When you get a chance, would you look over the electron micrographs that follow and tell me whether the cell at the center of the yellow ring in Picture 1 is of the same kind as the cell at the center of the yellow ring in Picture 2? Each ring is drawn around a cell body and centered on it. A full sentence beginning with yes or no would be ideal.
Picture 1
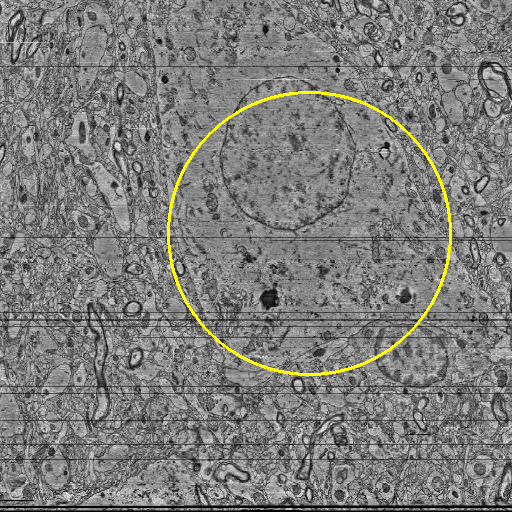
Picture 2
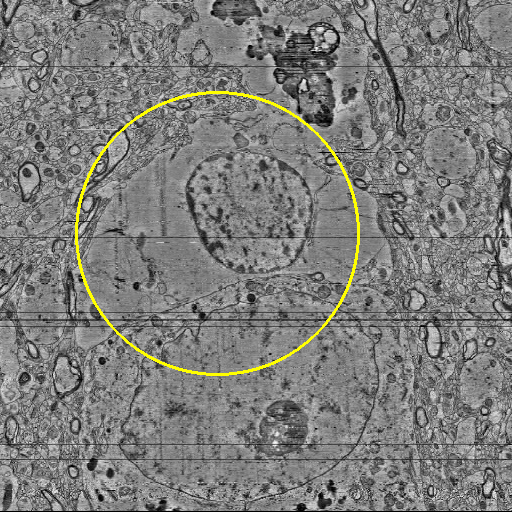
No, they are two kinds of cell.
